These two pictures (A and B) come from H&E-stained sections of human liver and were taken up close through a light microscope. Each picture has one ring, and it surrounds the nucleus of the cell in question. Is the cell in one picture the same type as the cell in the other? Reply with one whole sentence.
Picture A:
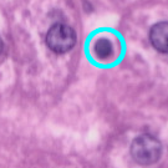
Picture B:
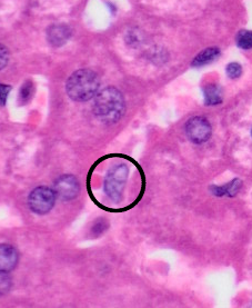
No, they differ: the cell is a lymphocyte in picture A and a Kupffer cell in picture B.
